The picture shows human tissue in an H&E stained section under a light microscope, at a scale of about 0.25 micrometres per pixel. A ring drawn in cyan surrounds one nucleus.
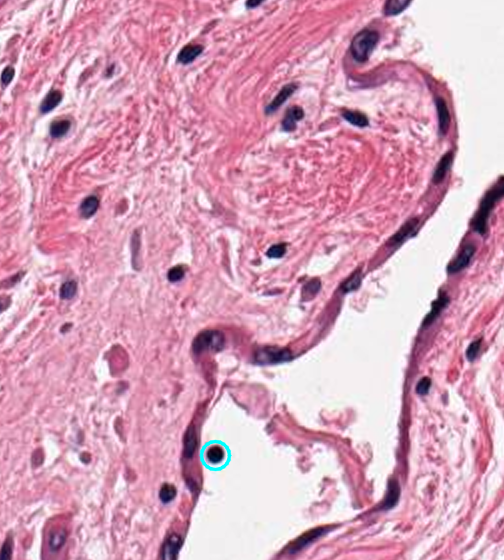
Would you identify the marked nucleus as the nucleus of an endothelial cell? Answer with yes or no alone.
no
